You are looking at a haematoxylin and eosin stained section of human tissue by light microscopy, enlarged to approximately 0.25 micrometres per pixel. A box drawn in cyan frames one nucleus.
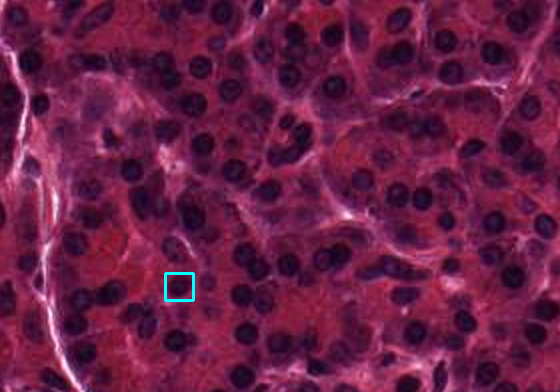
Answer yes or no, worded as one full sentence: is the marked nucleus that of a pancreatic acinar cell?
Yes, the nucleus bearing the mark is that of a pancreatic acinar cell.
